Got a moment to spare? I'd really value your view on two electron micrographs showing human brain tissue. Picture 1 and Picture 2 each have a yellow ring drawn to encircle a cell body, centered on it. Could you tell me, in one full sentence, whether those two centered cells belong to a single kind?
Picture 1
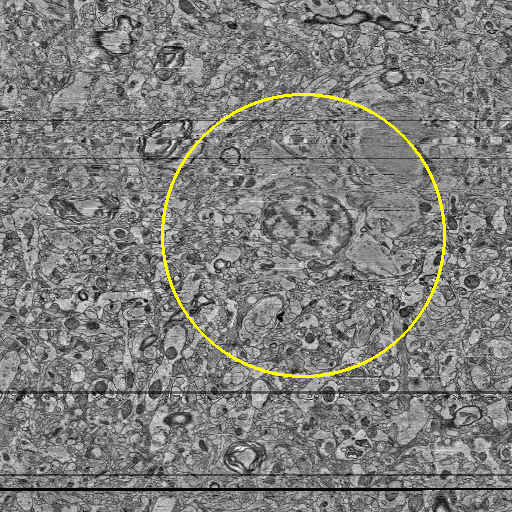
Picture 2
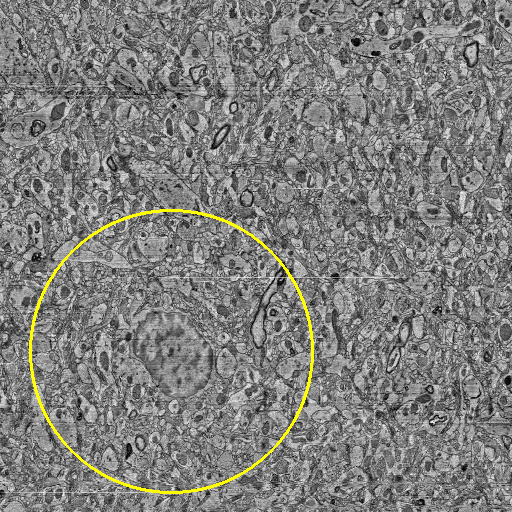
Yes, the two centered cells in Picture 1 and Picture 2 are of a single kind.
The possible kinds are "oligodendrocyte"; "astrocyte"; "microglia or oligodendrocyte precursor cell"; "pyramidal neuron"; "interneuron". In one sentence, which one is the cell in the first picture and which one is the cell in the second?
Each of the ringed cells, first and second, is an oligodendrocyte.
